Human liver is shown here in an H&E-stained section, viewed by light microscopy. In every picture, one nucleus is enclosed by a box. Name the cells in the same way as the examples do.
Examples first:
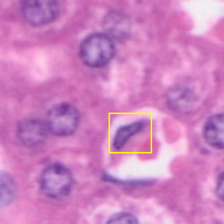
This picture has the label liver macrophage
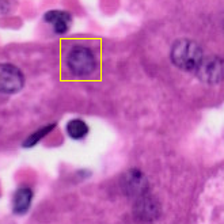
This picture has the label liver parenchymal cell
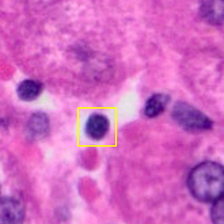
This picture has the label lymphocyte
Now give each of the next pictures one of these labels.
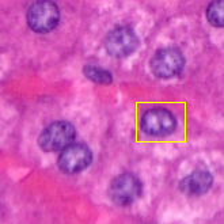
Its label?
liver parenchymal cell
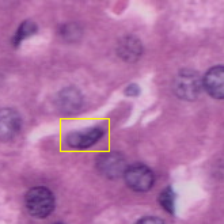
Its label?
liver macrophage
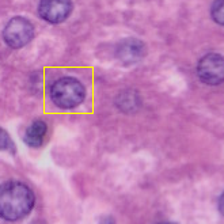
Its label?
liver parenchymal cell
